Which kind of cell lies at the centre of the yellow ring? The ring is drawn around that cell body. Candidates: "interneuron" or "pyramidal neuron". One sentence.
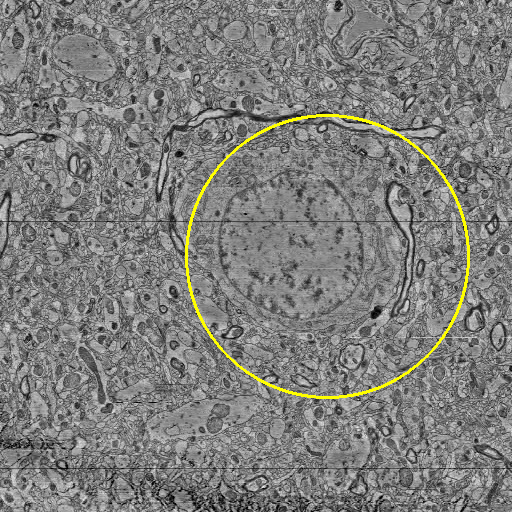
Lying at the centre of the ring is an interneuron.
